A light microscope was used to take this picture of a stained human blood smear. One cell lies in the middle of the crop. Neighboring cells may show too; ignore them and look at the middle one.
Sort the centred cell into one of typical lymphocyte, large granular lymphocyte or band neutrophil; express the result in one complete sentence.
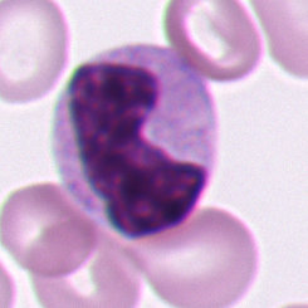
The cell shown in the center of this light-microscope crop is a band neutrophil.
